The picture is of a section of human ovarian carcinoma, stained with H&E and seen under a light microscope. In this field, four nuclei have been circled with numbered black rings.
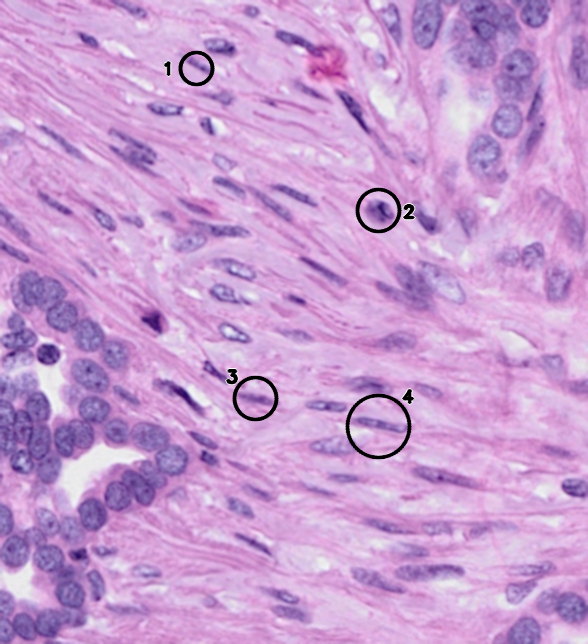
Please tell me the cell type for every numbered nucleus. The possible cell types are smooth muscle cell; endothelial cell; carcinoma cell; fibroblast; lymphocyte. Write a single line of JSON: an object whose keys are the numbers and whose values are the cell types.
{"1": "fibroblast", "2": "lymphocyte", "3": "fibroblast", "4": "fibroblast"}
